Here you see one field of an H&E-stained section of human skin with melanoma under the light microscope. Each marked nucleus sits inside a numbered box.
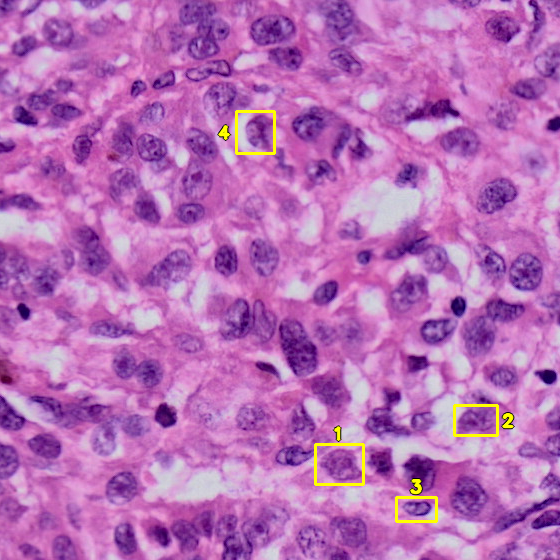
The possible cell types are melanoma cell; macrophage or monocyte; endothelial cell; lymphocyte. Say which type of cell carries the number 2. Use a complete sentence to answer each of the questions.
The cell that is numbered 2 is a melanoma cell.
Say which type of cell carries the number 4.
The identity of cell 4 is that of a melanoma cell.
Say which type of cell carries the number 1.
The label 1 in this section denotes a melanoma cell.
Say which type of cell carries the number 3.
The cell that bears the number 3 is a macrophage or monocyte.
